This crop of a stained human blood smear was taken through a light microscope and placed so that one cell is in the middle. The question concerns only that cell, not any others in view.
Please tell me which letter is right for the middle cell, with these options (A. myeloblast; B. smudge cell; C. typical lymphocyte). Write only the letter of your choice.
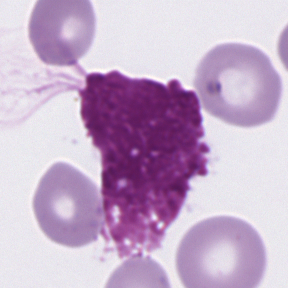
B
